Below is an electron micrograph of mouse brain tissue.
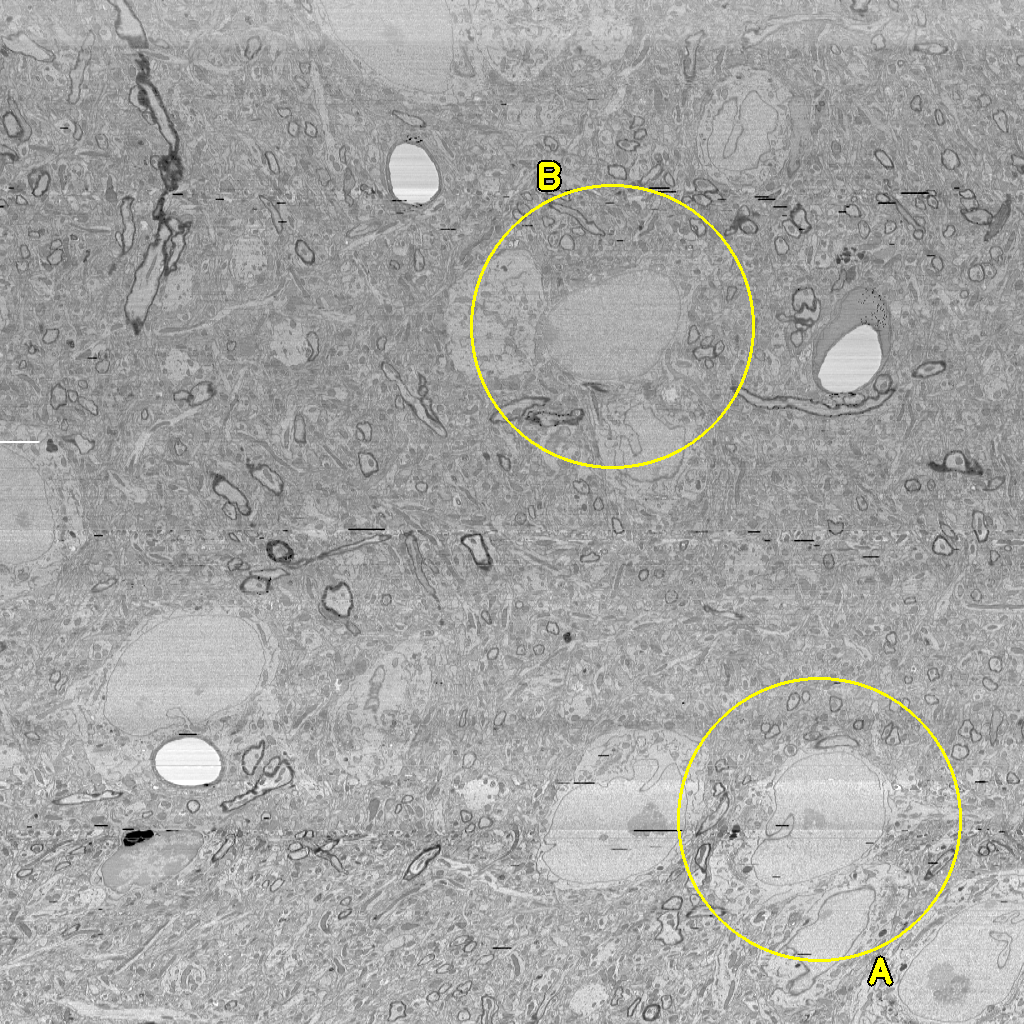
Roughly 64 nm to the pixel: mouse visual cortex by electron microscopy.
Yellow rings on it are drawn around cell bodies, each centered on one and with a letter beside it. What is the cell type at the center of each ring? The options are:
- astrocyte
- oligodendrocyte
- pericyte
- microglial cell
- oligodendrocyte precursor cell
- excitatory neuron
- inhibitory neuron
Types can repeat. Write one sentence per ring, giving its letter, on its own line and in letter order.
At the center of ring A is an excitatory neuron.
At the center of ring B is an astrocyte.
